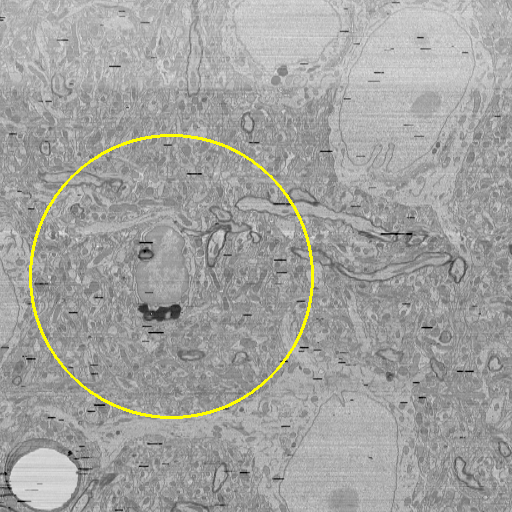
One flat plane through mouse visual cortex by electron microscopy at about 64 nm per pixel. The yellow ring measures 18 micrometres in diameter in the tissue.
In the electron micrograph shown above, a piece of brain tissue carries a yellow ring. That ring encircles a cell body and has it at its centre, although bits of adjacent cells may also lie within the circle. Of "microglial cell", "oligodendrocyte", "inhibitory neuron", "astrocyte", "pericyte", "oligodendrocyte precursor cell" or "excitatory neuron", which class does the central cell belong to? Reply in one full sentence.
The cell body at the centre of the yellow ring belongs to a microglial cell.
